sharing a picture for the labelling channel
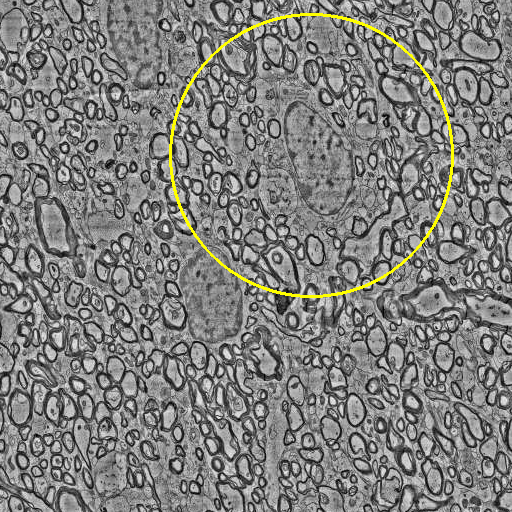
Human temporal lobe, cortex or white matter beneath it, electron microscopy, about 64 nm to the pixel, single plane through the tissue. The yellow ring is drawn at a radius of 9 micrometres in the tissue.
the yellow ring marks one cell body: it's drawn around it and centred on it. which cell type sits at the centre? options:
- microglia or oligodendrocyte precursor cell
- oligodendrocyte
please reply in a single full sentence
In the picture, the cell at the ring's centre is a microglial cell or oligodendrocyte precursor cell, going by the list.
